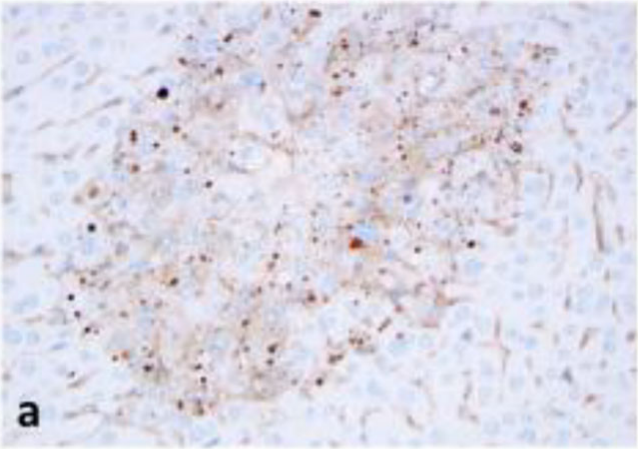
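This is liver parenchyma in which a rounded zone of hepatocytes shows an intense brown granular reaction. The hepatocytes are large polygonal cells with round, pale blue nuclei, arranged in cords separated by narrow sinusoids. Within the affected zone the cytoplasm is pale and contains numerous brown dots of varying size, some coarse and dark, together with fine brown streaks along the cell borders and sinusoids. The cells here look less distinct and somewhat disorganised. Outside this zone the hepatocytes appear unstained apart from thin brown linear profiles along the sinusoids, showing that the reaction is concentrated in one region of the lobule.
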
